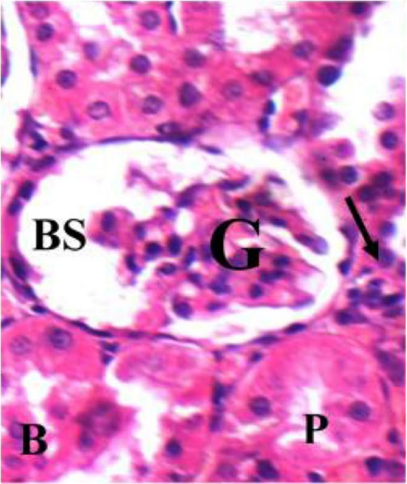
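A renal corpuscle in the kidney cortex with a small, shrunken glomerular tuft of crowded dark nuclei, separated from its capsule by a wide empty Bowman's space. Around it lie proximal tubules with pink granular cytoplasm and round nuclei, some with ragged lumens, and small dark nuclei gather in the interstitium beside the capsule.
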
